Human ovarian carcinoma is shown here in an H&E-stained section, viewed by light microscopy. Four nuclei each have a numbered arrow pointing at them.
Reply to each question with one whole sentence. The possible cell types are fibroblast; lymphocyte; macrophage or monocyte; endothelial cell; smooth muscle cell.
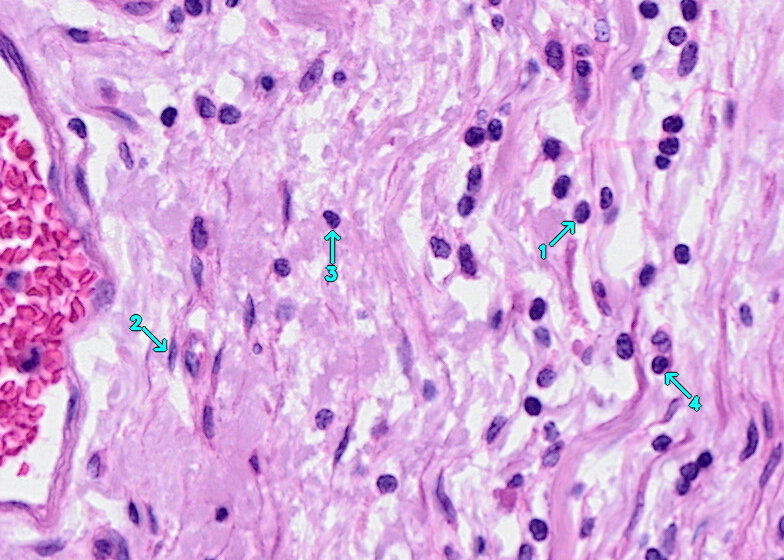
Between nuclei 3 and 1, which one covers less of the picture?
Number 3 is smaller, since number 1 takes up about 1.5 times as much area.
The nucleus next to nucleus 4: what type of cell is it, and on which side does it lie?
The nearest nucleus is that of a macrophage or monocyte and lies above nucleus 4.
